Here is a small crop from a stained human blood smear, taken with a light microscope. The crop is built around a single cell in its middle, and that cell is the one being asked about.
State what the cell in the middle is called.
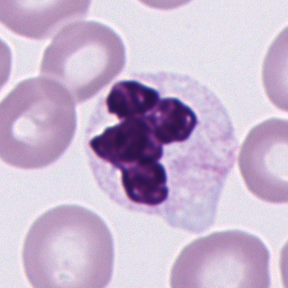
segmented neutrophil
